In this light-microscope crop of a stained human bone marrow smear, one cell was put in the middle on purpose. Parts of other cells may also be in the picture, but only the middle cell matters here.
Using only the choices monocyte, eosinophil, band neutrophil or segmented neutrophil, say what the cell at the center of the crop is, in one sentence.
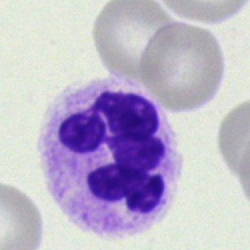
For this crop, the central cell is a segmented neutrophil.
